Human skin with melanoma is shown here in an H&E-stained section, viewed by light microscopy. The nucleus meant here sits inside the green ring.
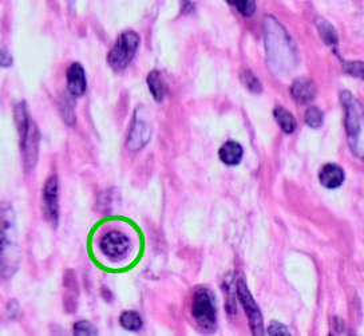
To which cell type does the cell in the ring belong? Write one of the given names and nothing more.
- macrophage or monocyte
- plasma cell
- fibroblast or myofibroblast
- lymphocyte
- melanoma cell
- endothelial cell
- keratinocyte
plasma cell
